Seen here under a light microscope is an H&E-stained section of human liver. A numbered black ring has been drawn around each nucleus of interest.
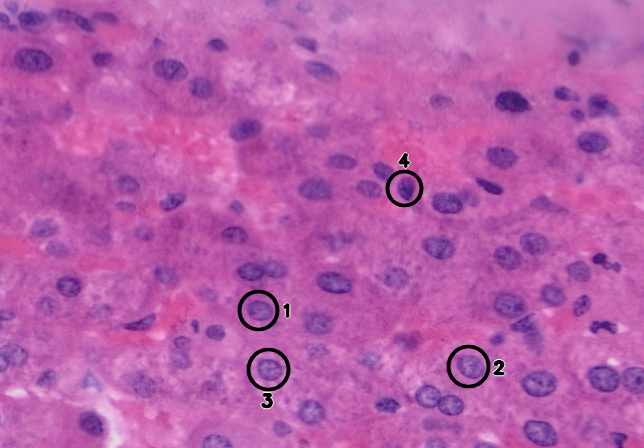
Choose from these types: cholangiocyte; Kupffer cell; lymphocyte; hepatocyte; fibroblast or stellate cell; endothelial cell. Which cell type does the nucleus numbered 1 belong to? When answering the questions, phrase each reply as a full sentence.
The cell indicated with the number 1 is classed as a hepatocyte.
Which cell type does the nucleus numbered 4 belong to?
Here the cell numbered 4 is a fibroblast or stellate cell.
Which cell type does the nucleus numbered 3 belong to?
Recognised here as a hepatocyte is the cell numbered 3.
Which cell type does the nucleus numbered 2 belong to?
The cell that carries the label 2 is a hepatocyte.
